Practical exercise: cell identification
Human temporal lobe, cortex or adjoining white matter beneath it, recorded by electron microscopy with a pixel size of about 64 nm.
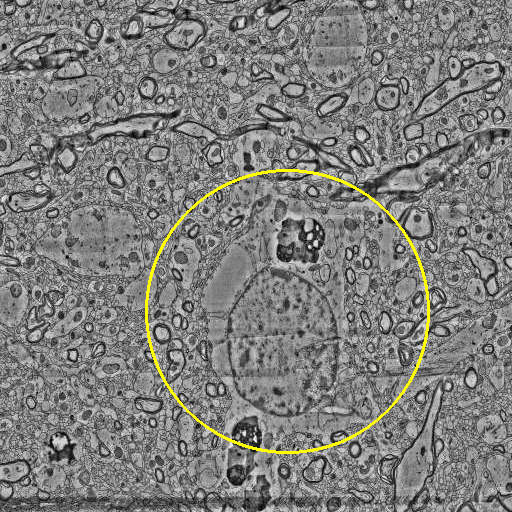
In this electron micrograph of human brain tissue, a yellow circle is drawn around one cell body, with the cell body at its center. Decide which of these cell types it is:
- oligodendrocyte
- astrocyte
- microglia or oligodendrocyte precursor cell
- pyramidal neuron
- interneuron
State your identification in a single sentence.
The ringed cell is an astrocyte.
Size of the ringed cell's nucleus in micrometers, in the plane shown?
The nucleus measures about 10 by 7 micrometres in this plane.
